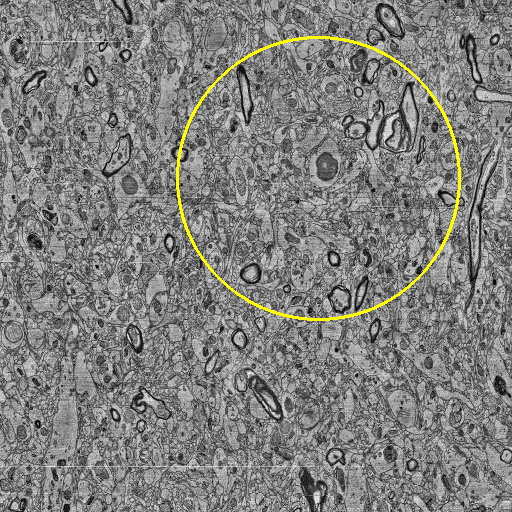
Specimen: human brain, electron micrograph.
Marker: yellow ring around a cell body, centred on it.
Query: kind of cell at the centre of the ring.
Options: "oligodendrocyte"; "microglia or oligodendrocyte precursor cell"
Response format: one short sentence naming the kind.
This cell body belongs to a microglial cell or oligodendrocyte precursor cell.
